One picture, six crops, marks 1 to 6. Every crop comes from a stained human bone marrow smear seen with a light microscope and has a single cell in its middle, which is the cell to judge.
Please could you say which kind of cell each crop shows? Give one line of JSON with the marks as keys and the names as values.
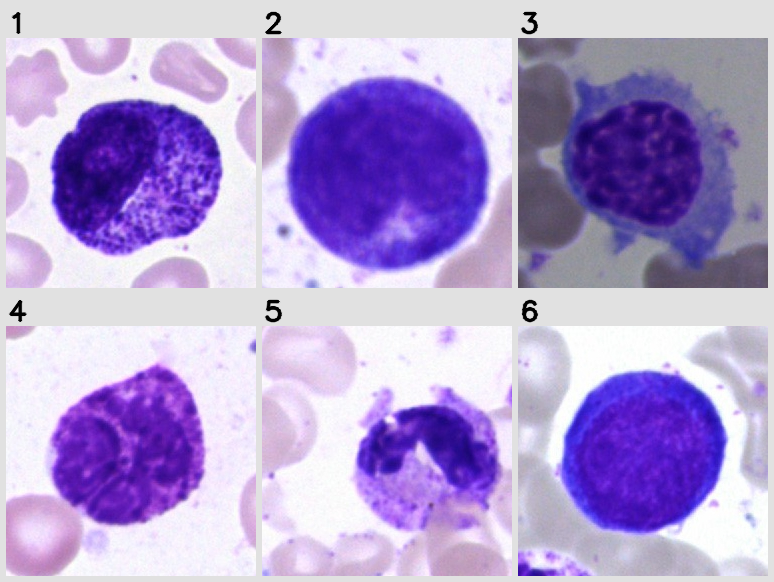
{"1": "promyelocyte", "2": "promyelocyte", "3": "hairy cell", "4": "basophil", "5": "segmented neutrophil", "6": "proerythroblast"}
